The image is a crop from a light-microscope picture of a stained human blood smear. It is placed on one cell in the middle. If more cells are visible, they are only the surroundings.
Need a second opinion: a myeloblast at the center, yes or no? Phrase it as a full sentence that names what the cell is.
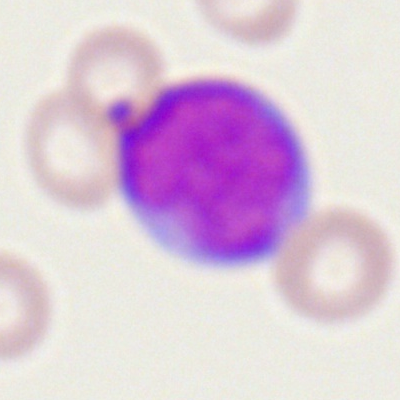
Yes, this central cell is a myeloblast.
